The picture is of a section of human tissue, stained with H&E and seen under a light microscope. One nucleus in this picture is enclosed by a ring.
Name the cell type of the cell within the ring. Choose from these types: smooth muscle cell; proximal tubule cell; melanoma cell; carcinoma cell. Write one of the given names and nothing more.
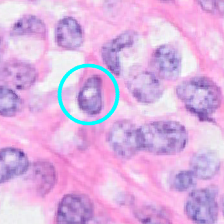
carcinoma cell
